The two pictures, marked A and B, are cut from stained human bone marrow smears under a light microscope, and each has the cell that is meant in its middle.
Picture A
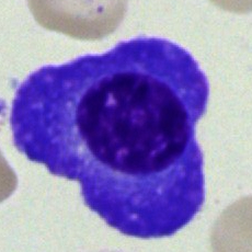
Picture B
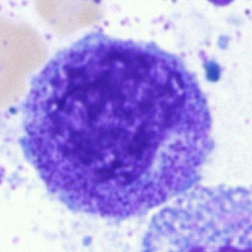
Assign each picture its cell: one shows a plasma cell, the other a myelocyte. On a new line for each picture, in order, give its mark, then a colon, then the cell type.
A: plasma cell
B: myelocyte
